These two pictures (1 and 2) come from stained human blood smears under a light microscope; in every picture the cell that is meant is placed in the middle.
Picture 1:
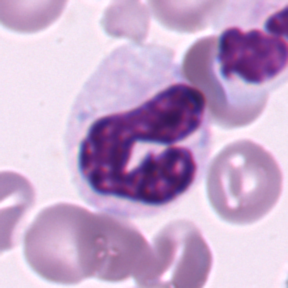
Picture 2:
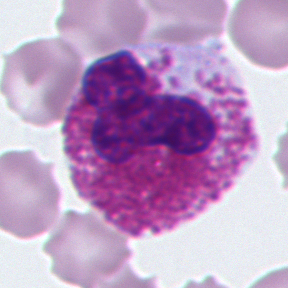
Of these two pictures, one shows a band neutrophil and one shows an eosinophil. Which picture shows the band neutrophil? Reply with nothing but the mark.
1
